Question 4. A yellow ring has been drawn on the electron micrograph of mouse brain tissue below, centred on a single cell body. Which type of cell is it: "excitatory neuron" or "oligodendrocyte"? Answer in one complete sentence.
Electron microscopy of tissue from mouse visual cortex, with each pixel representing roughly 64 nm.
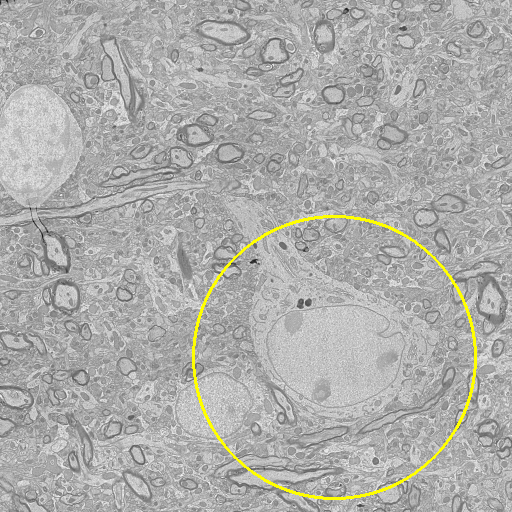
This cell body belongs to an excitatory neuron.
